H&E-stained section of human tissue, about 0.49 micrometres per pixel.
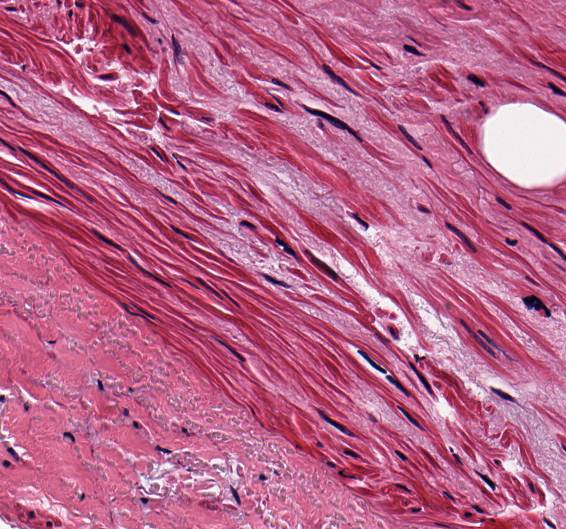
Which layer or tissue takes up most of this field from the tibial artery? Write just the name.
tunica media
